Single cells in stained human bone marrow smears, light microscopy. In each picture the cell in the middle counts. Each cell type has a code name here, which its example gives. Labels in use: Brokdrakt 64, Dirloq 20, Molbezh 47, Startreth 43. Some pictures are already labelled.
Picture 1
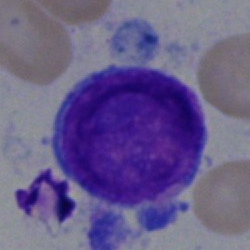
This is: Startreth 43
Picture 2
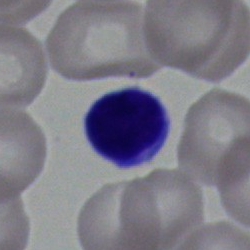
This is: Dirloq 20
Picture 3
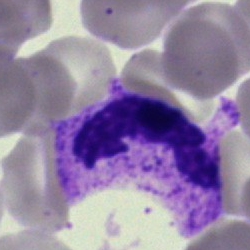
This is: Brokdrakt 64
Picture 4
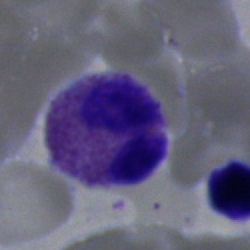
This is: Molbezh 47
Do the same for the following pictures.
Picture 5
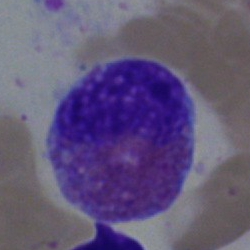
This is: Molbezh 47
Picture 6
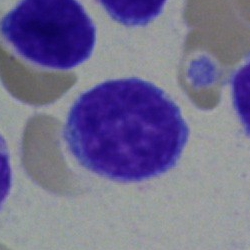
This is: Dirloq 20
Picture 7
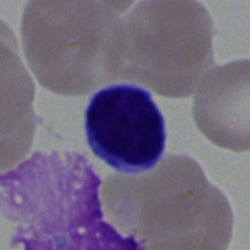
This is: Dirloq 20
